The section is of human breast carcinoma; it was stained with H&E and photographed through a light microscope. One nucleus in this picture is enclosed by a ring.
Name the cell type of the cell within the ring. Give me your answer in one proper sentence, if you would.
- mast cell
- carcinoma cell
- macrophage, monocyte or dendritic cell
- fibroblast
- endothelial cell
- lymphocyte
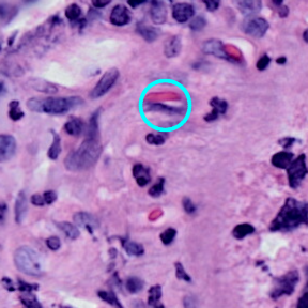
The correct response here is that the cell within the ring is an endothelial cell.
